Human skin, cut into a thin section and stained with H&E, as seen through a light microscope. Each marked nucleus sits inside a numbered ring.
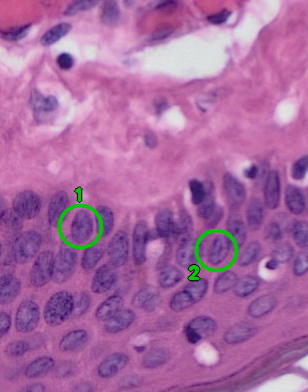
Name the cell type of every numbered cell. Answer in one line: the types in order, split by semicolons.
basal keratinocyte; suprabasal keratinocyte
